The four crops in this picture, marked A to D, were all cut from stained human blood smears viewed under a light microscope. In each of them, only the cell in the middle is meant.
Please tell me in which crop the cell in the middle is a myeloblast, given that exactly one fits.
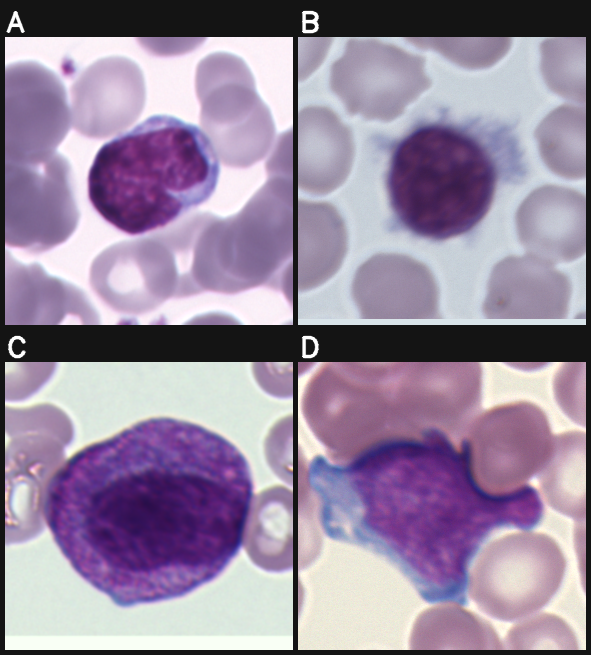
D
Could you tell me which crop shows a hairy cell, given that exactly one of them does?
B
